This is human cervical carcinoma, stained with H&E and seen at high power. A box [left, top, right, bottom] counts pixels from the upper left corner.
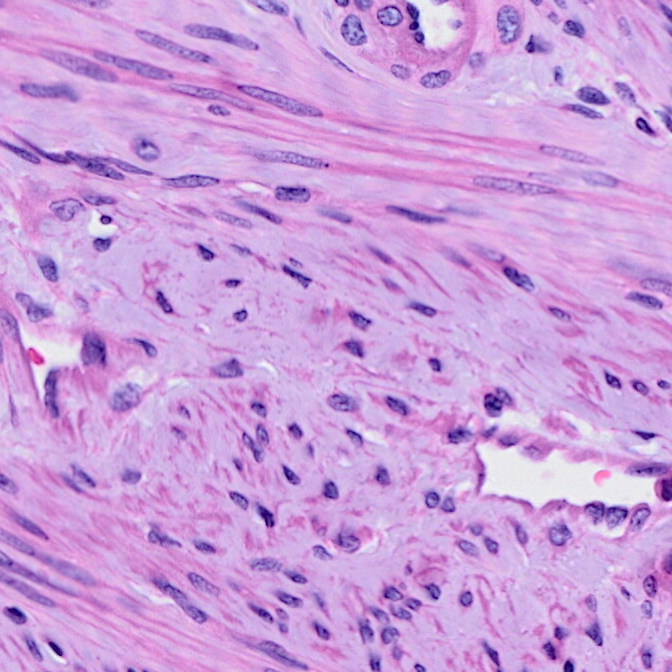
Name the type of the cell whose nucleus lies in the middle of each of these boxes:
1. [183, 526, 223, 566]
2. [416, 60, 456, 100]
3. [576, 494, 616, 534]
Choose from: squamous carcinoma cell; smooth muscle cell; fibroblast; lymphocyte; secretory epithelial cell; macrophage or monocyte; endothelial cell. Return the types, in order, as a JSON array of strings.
["smooth muscle cell", "smooth muscle cell", "endothelial cell"]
